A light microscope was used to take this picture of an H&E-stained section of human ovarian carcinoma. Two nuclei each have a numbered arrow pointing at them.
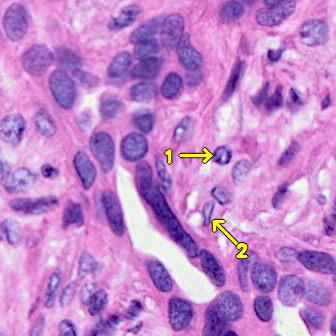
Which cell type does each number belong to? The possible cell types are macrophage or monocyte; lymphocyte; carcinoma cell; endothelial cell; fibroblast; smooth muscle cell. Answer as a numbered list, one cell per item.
1. macrophage or monocyte
2. fibroblast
